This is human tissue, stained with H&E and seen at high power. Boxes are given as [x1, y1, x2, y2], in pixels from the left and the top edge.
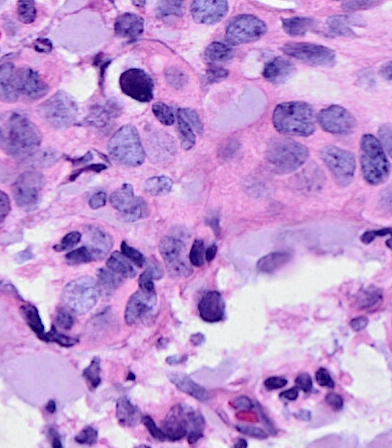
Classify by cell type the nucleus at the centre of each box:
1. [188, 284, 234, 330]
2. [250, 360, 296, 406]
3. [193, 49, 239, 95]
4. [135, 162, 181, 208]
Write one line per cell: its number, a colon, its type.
1: carcinoma cell
2: lymphocyte
3: carcinoma cell
4: carcinoma cell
